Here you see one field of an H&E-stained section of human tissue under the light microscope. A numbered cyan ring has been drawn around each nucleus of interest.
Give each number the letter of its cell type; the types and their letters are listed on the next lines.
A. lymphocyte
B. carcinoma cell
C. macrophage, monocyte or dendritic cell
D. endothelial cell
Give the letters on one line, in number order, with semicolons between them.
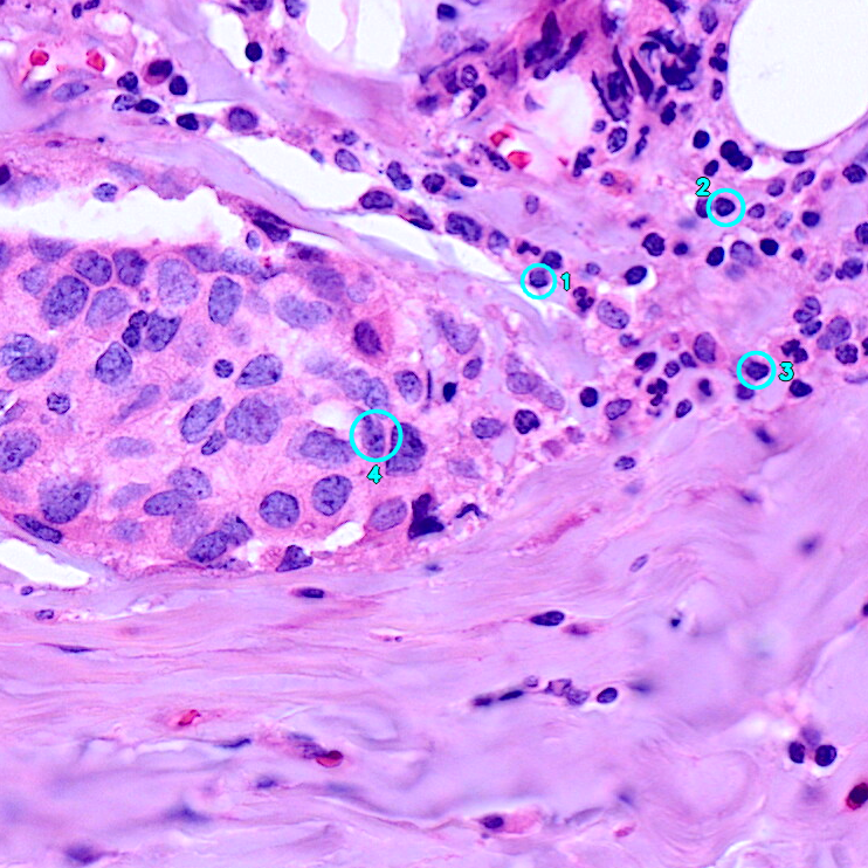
A; A; A; B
